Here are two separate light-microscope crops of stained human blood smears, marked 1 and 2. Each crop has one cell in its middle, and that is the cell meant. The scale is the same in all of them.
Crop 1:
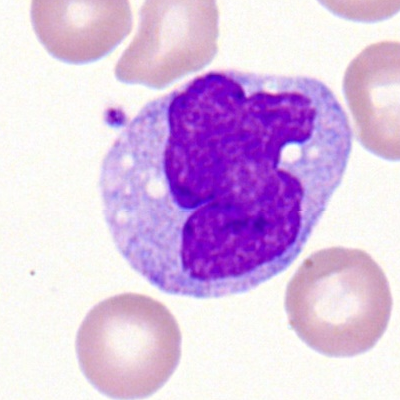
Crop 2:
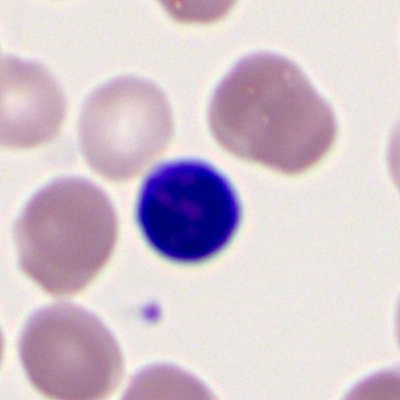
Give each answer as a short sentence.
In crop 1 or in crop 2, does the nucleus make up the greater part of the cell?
Of the two, the nucleus in crop 2 makes up the greater part of its cell.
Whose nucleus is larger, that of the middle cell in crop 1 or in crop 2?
It is the nucleus in crop 1, about 3 times as large in area as the one in crop 2.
